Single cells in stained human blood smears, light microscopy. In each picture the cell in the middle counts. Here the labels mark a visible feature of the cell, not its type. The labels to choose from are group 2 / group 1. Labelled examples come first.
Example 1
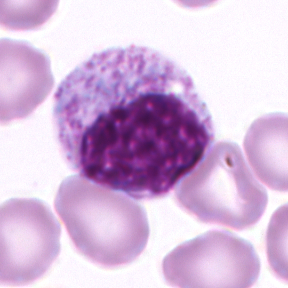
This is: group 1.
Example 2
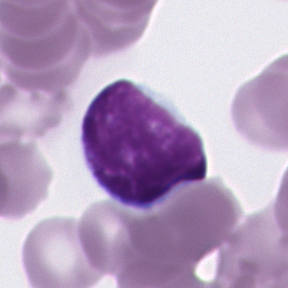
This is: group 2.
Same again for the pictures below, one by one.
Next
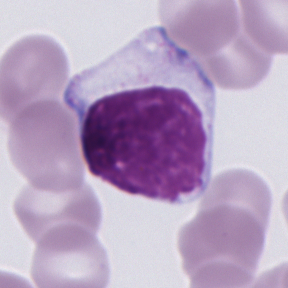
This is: group 1.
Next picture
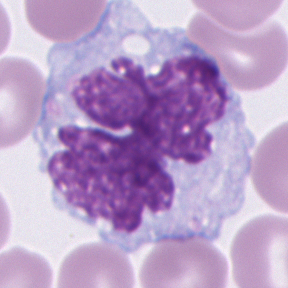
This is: group 1.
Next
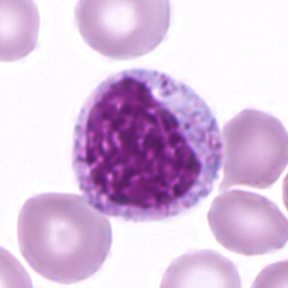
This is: group 2.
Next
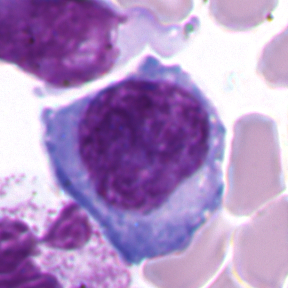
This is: group 1.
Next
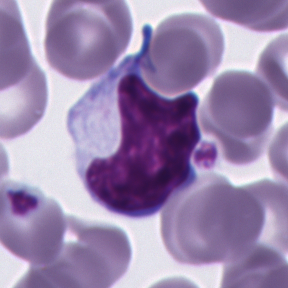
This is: group 1.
